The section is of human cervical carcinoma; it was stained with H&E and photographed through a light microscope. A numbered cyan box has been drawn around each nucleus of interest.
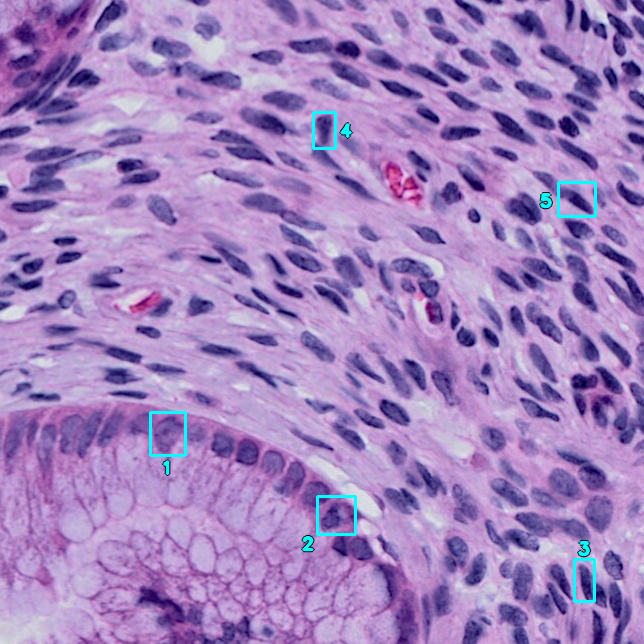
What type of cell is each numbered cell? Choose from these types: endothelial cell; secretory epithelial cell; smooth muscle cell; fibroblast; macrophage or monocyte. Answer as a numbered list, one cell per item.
1. secretory epithelial cell
2. secretory epithelial cell
3. fibroblast
4. fibroblast
5. fibroblast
